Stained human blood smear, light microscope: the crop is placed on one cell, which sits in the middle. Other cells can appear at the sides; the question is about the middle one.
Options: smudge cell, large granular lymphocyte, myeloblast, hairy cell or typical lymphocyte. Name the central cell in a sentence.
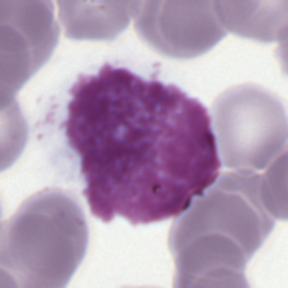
Occupying the centre of the crop is a smudge cell.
